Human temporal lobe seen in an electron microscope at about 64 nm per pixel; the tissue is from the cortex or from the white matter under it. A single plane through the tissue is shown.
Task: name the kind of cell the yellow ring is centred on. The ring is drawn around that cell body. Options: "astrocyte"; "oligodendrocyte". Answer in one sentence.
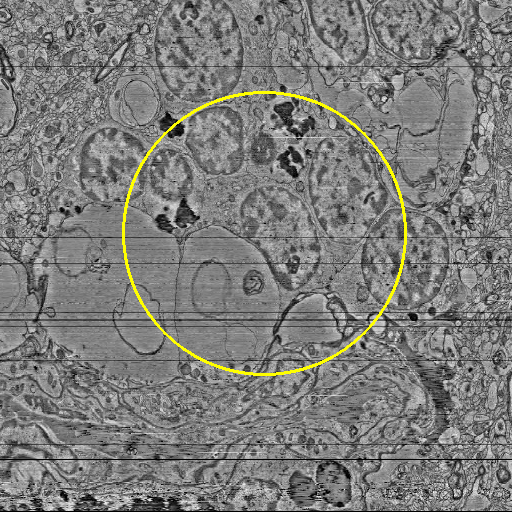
This cell body belongs to an oligodendrocyte.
